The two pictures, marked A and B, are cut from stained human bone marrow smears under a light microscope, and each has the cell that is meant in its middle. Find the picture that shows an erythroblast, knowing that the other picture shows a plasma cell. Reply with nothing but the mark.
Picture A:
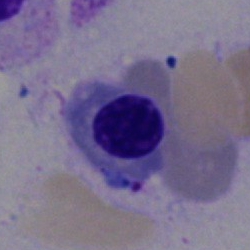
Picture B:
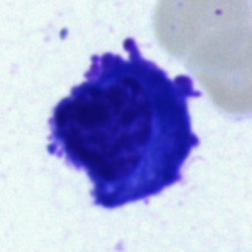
A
